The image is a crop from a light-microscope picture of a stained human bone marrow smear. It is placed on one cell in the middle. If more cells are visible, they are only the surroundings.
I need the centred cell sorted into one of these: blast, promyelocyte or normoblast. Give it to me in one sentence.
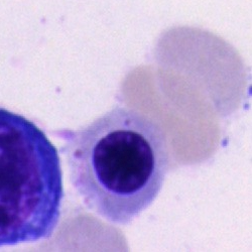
In this smear crop, the middle cell is a normoblast.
